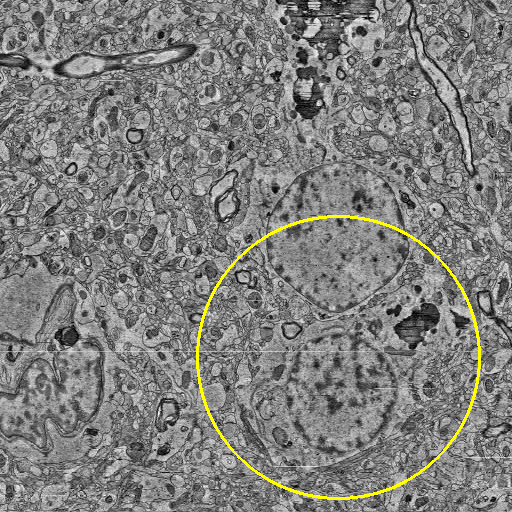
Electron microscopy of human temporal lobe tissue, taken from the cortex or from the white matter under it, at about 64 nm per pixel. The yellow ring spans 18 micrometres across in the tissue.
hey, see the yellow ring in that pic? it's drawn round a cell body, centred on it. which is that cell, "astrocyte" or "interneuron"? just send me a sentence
The cell in the ring is an astrocyte.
